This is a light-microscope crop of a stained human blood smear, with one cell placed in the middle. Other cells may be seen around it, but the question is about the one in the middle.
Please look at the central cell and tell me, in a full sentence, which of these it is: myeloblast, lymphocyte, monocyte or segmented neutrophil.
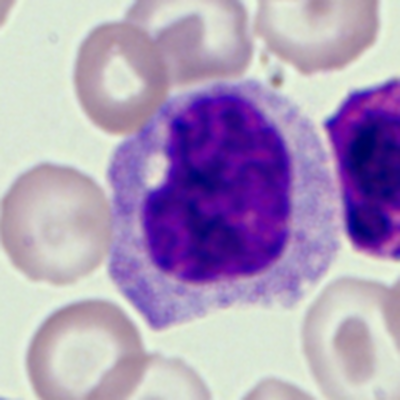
The centrally located cell in the crop is a monocyte.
